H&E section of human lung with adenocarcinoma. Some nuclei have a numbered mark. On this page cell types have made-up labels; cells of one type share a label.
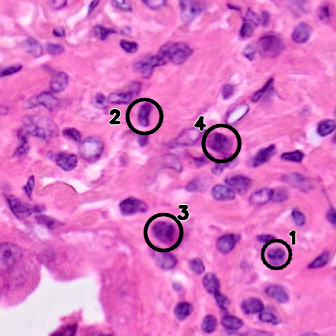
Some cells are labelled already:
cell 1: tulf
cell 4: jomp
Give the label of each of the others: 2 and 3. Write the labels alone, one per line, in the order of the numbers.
tulf
jomp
